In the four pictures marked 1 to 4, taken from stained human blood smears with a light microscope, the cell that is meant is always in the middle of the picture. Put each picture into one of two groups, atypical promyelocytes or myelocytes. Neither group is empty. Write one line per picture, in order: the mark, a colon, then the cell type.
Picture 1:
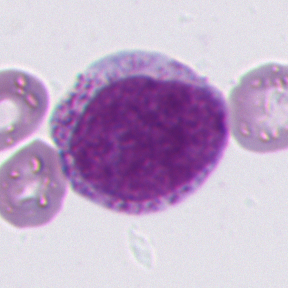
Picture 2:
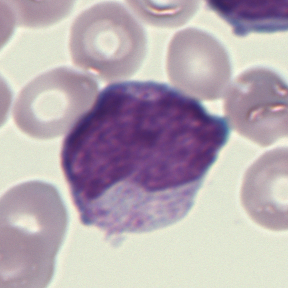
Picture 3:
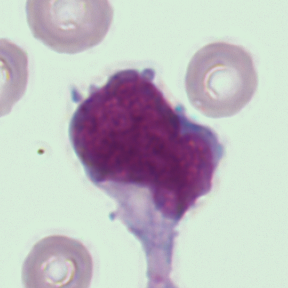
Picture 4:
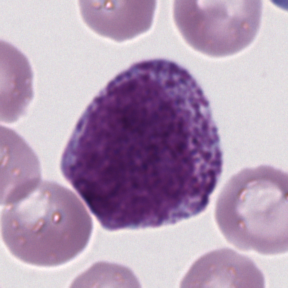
1: myelocyte
2: atypical promyelocyte
3: atypical promyelocyte
4: myelocyte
